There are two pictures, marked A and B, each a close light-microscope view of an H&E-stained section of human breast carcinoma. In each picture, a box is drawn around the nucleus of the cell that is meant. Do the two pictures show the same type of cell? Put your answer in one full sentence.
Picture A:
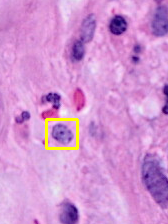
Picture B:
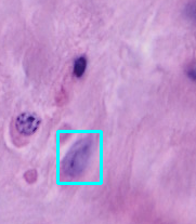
No, picture A shows a mast cell and picture B shows a fibroblast.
